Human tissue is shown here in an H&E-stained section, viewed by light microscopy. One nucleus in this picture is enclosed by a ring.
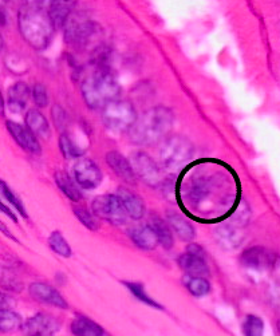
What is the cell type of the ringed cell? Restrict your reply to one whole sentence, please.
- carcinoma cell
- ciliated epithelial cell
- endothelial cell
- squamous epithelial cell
As far as its identity is concerned, the ringed cell is a ciliated epithelial cell.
